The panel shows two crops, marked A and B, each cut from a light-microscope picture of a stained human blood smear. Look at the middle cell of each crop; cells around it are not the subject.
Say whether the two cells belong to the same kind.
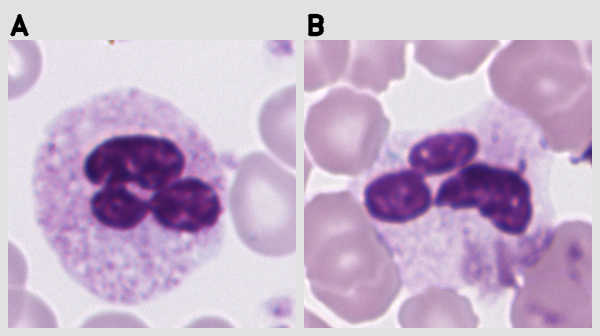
yes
